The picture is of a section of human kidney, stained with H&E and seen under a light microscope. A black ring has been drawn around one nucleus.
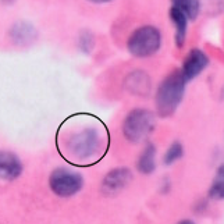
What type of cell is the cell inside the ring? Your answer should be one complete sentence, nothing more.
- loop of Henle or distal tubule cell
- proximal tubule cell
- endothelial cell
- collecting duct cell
Within the stained tissue, the cell inside the ring is a loop of Henle or distal tubule cell.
